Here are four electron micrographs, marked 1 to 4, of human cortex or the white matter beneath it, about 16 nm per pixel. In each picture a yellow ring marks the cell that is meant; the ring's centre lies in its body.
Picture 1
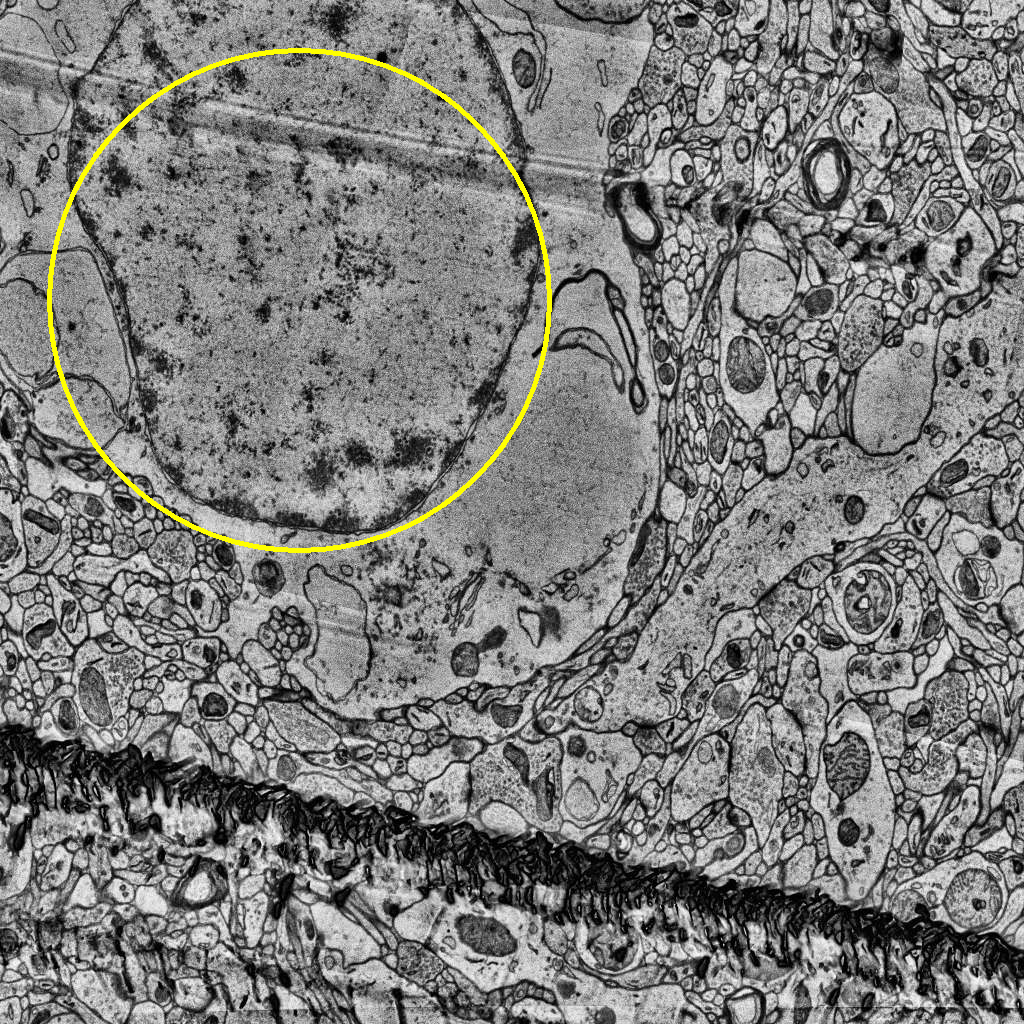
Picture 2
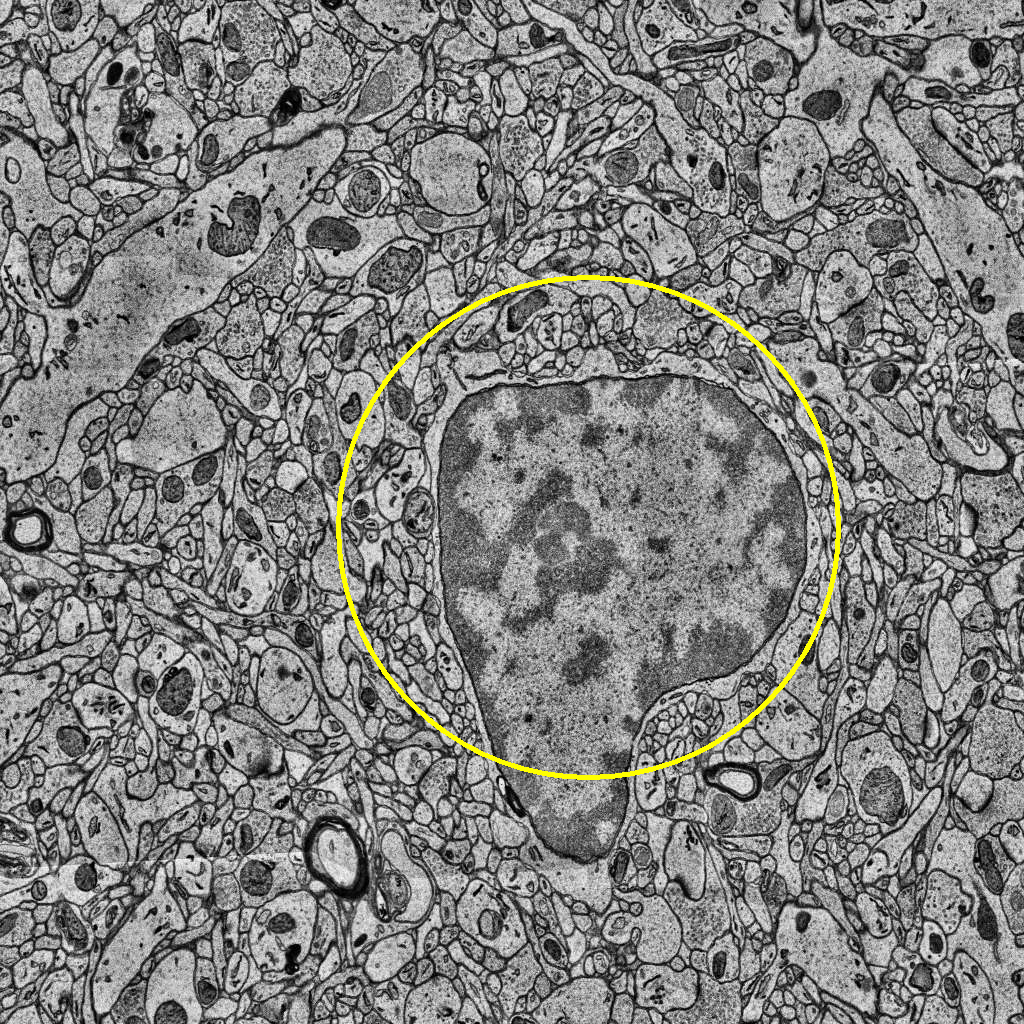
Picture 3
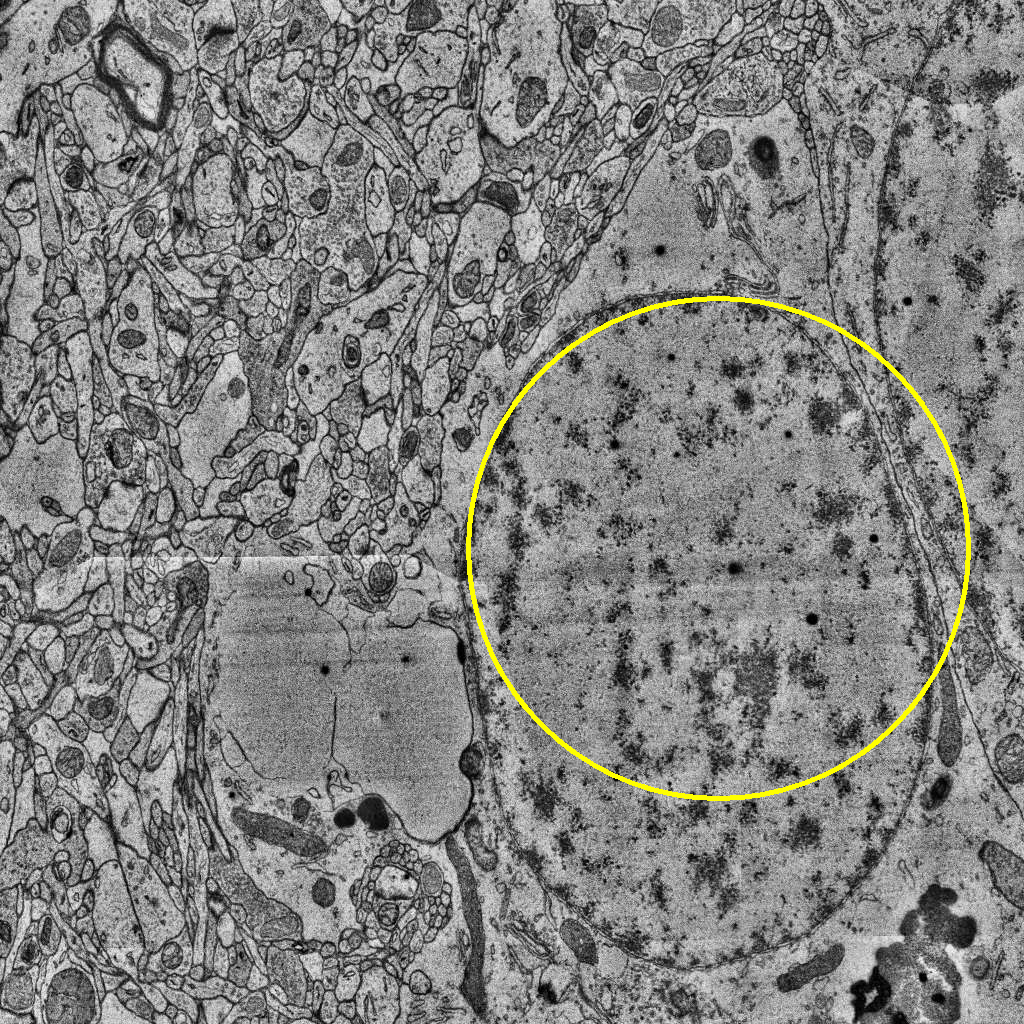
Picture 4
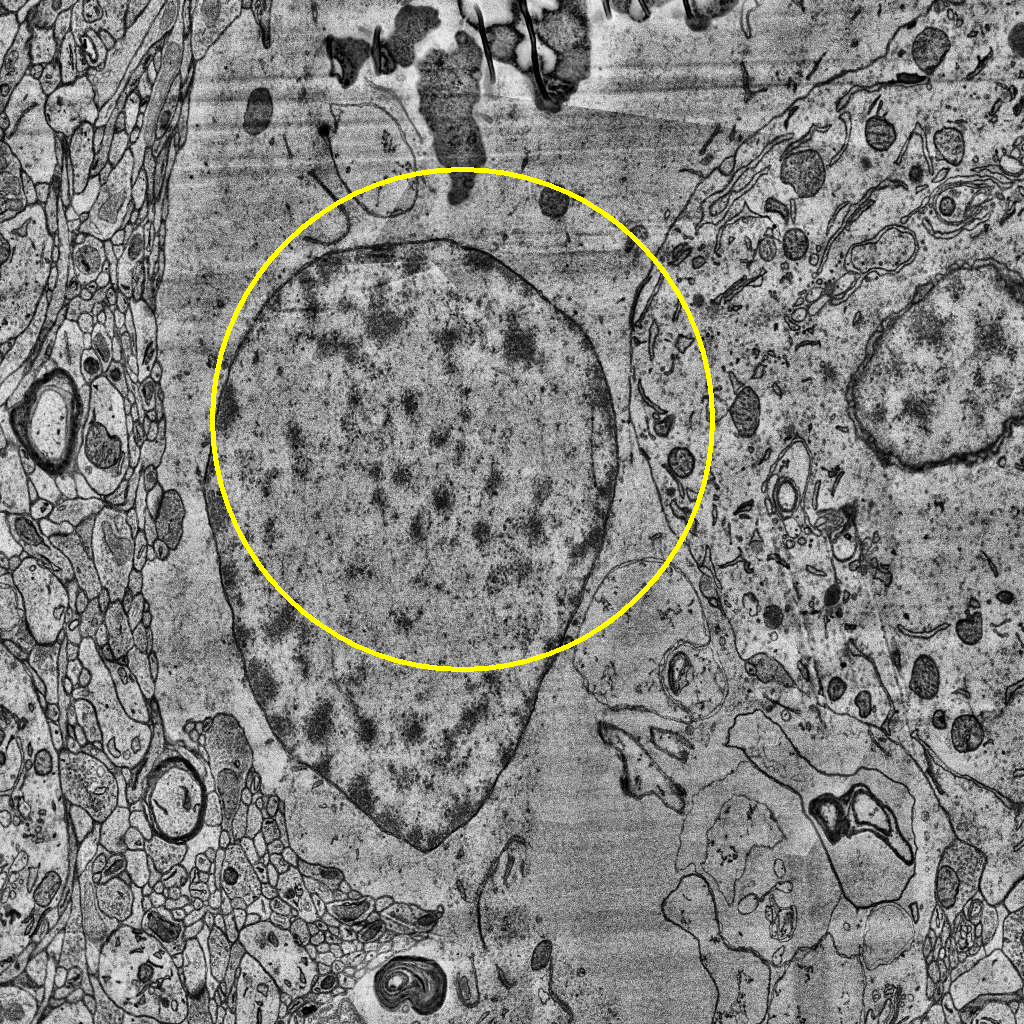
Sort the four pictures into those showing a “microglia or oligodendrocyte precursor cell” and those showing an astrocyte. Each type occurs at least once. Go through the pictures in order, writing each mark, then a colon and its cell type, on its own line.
1: astrocyte
2: microglia or oligodendrocyte precursor cell
3: astrocyte
4: astrocyte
